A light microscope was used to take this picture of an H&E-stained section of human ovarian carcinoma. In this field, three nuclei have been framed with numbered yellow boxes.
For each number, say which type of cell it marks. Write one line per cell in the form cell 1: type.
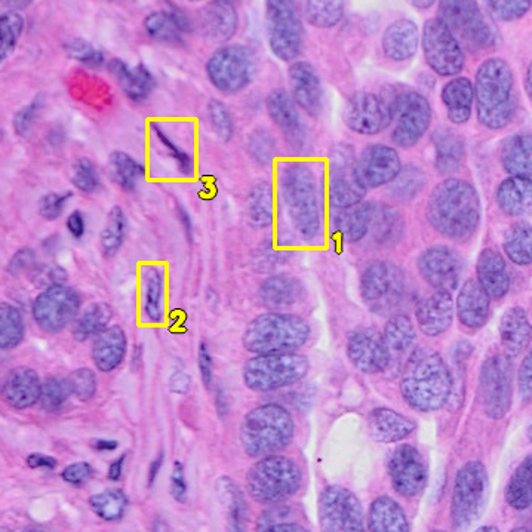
cell 1: carcinoma cell
cell 2: fibroblast
cell 3: fibroblast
